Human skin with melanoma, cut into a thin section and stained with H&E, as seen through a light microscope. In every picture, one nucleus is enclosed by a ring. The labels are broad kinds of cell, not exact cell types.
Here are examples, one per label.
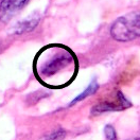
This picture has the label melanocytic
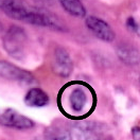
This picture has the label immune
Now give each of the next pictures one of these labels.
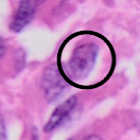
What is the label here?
melanocytic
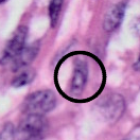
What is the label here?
melanocytic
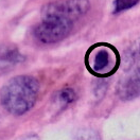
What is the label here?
immune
